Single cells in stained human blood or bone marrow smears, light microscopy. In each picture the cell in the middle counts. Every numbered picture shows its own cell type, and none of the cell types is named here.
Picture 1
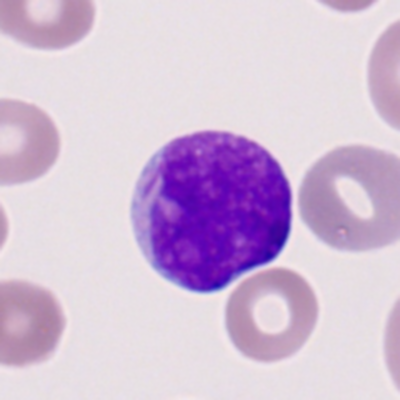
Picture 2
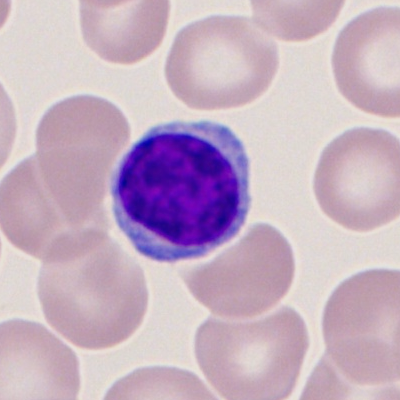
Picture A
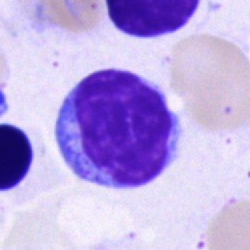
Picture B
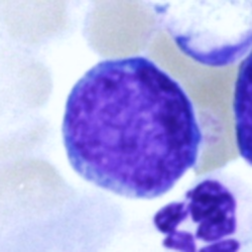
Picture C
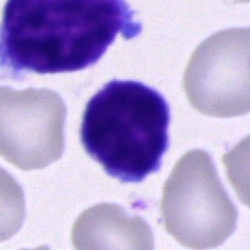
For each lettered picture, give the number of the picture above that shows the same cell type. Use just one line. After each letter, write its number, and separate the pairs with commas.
A 2, B 1, C 2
